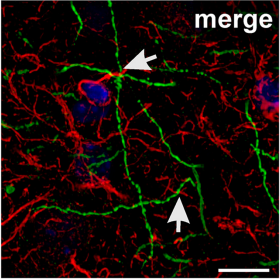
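Red astrocytic processes form a fine, loose meshwork, with a few cell bodies sitting beside blue nuclei. Where the green fibers cross the red meshwork, beads lie right next to red processes.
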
